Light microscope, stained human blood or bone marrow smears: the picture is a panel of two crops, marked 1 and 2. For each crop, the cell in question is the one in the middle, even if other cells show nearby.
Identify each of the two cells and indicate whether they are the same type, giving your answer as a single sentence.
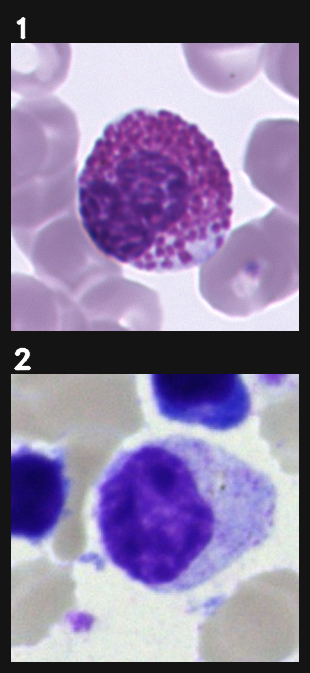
No, crop 2 centres on a myelocyte, and crop 1 centres on an eosinophil.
